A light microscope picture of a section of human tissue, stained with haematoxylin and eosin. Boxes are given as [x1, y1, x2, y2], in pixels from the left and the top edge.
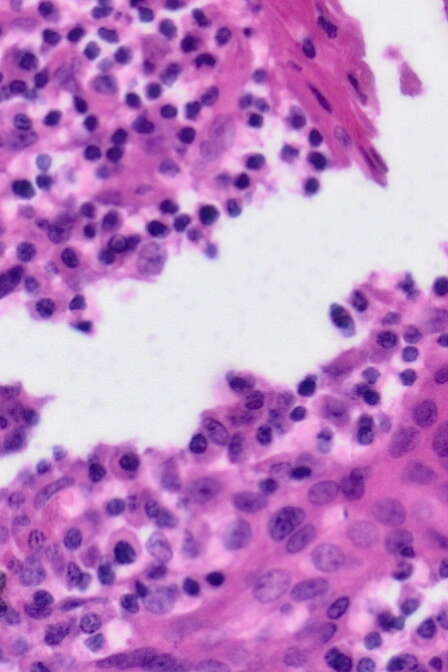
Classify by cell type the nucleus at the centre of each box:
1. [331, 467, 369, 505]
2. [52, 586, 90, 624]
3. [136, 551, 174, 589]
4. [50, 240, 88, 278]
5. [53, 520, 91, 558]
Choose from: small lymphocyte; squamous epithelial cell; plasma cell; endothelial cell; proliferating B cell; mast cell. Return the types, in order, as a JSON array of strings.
["squamous epithelial cell", "squamous epithelial cell", "squamous epithelial cell", "plasma cell", "plasma cell"]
